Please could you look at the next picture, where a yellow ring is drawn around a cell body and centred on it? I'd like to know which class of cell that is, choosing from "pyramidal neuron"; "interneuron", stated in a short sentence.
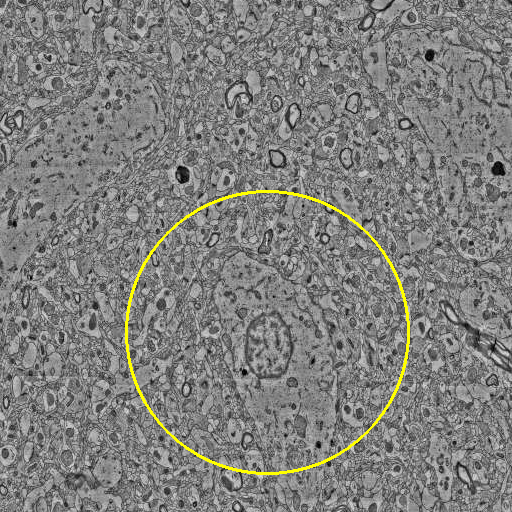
The ring's centre lies on a pyramidal neuron.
